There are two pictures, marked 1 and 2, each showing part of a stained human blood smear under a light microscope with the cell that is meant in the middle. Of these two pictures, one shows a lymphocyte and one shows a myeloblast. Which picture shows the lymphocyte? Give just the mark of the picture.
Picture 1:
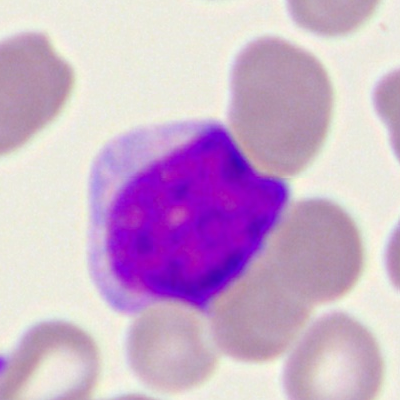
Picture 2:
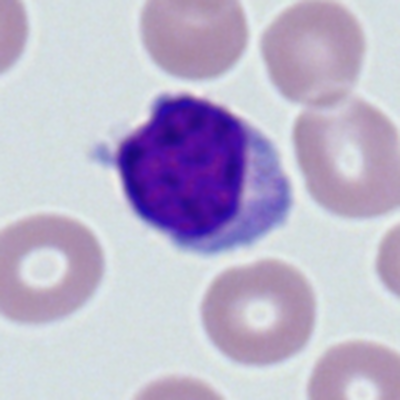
2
